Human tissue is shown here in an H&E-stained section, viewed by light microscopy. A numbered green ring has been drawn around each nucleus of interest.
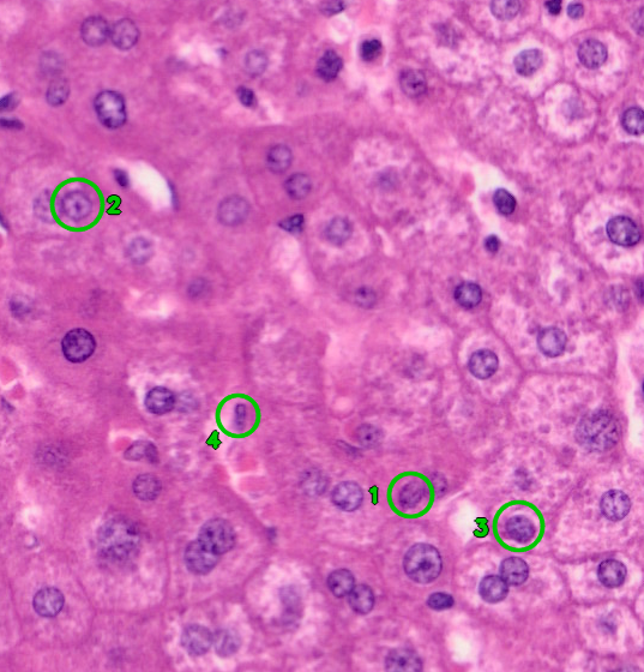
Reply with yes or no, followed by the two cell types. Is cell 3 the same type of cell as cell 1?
Yes, cells 3 and 1 are hepatocytes, both of them.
